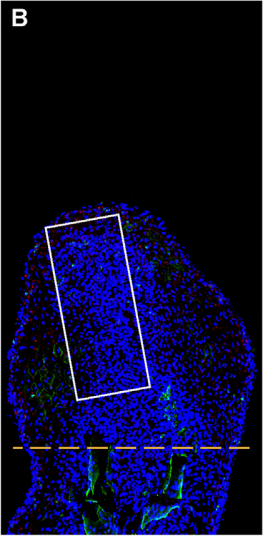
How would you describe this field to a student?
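Longitudinal section of a fin stump and its regenerate, nuclei in blue. Below the amputation plane, green-lined bony rays are present. Distal to the plane, the regenerate is a short, rounded mass of densely packed nuclei. No lengthwise red fibrils are visible within it, and green signal is sparse and patchy.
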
